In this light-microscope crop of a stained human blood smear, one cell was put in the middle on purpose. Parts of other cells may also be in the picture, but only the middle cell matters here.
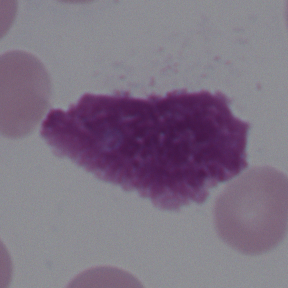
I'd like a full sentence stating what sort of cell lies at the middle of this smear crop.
At the middle of the frame sits a smudge cell.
